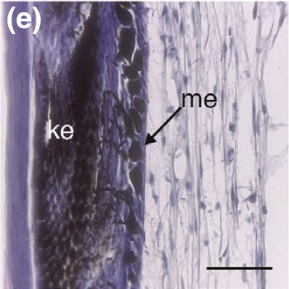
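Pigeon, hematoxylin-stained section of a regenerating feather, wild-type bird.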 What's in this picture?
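Within the epidermis, keratinocytes are packed into a dense, darkly pigmented layer with a rounded, cell-by-cell pattern, and melanocytes lie along its border with the dermis. The dermis holds scattered, elongated cells and fine fibers stained pale purple.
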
